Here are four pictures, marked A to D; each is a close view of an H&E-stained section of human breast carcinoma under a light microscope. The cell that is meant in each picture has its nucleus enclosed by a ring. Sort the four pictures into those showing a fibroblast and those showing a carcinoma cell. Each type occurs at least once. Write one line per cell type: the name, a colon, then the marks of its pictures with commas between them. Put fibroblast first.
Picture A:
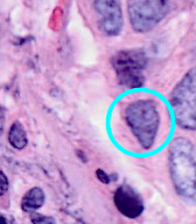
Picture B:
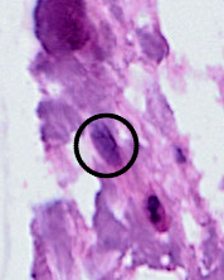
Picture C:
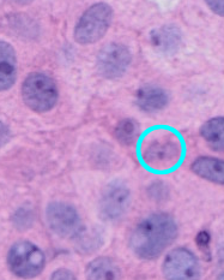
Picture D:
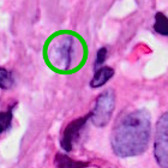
fibroblast: B, D
carcinoma cell: A, C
